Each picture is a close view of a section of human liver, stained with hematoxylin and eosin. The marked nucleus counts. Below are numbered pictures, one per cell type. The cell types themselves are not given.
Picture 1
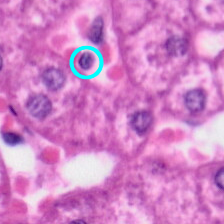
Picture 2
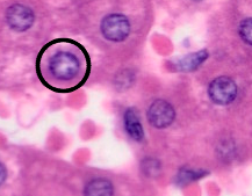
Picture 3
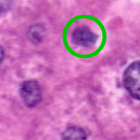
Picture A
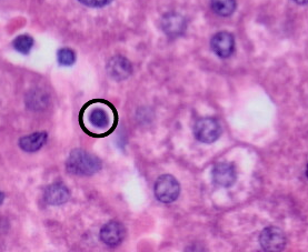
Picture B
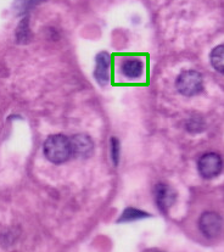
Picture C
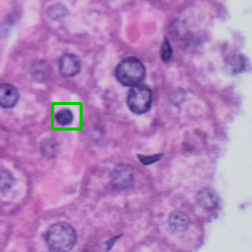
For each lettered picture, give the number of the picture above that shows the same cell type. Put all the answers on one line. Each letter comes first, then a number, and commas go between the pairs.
A 1, B 1, C 1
